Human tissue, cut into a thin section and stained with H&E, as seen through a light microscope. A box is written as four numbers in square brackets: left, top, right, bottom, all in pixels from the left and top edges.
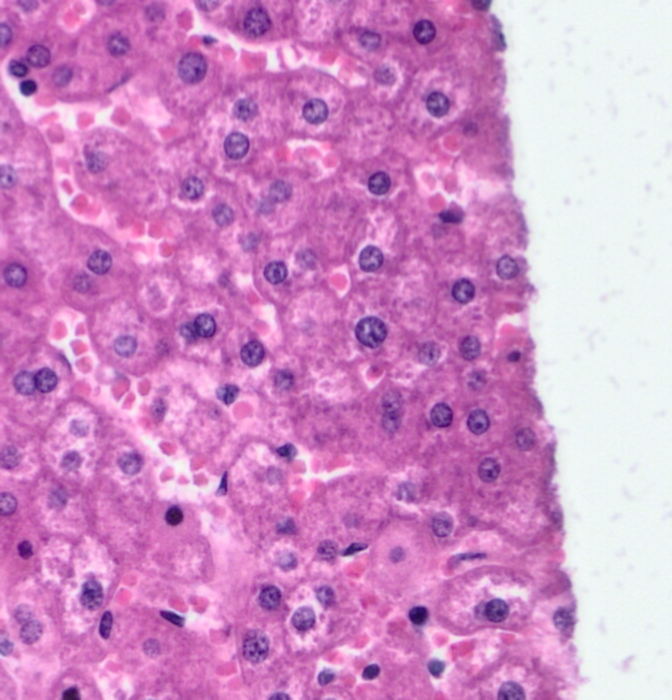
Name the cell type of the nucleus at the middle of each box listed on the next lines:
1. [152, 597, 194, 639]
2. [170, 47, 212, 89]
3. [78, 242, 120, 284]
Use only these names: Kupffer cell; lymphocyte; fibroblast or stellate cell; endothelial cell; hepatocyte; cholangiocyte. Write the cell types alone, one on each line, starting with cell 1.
endothelial cell
hepatocyte
hepatocyte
